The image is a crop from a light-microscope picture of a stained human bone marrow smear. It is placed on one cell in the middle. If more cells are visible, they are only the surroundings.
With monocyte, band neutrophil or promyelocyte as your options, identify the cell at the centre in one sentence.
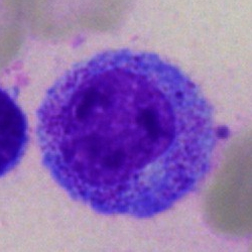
The cell around which this crop is centred is a promyelocyte.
